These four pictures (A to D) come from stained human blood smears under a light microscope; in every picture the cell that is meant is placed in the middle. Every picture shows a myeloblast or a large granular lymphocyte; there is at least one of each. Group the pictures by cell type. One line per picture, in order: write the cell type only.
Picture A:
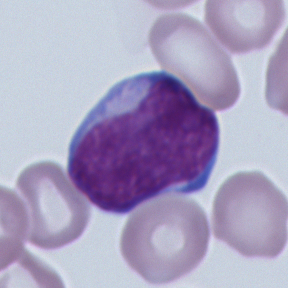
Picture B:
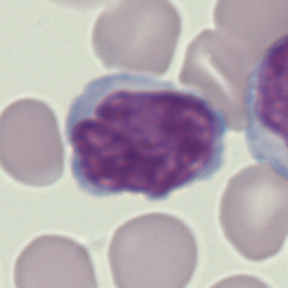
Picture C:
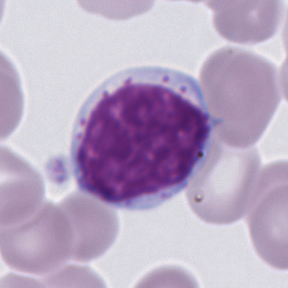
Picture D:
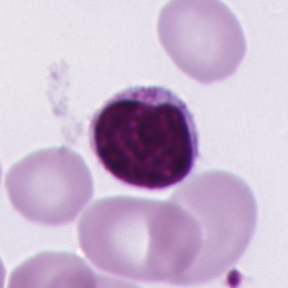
myeloblast
myeloblast
large granular lymphocyte
large granular lymphocyte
